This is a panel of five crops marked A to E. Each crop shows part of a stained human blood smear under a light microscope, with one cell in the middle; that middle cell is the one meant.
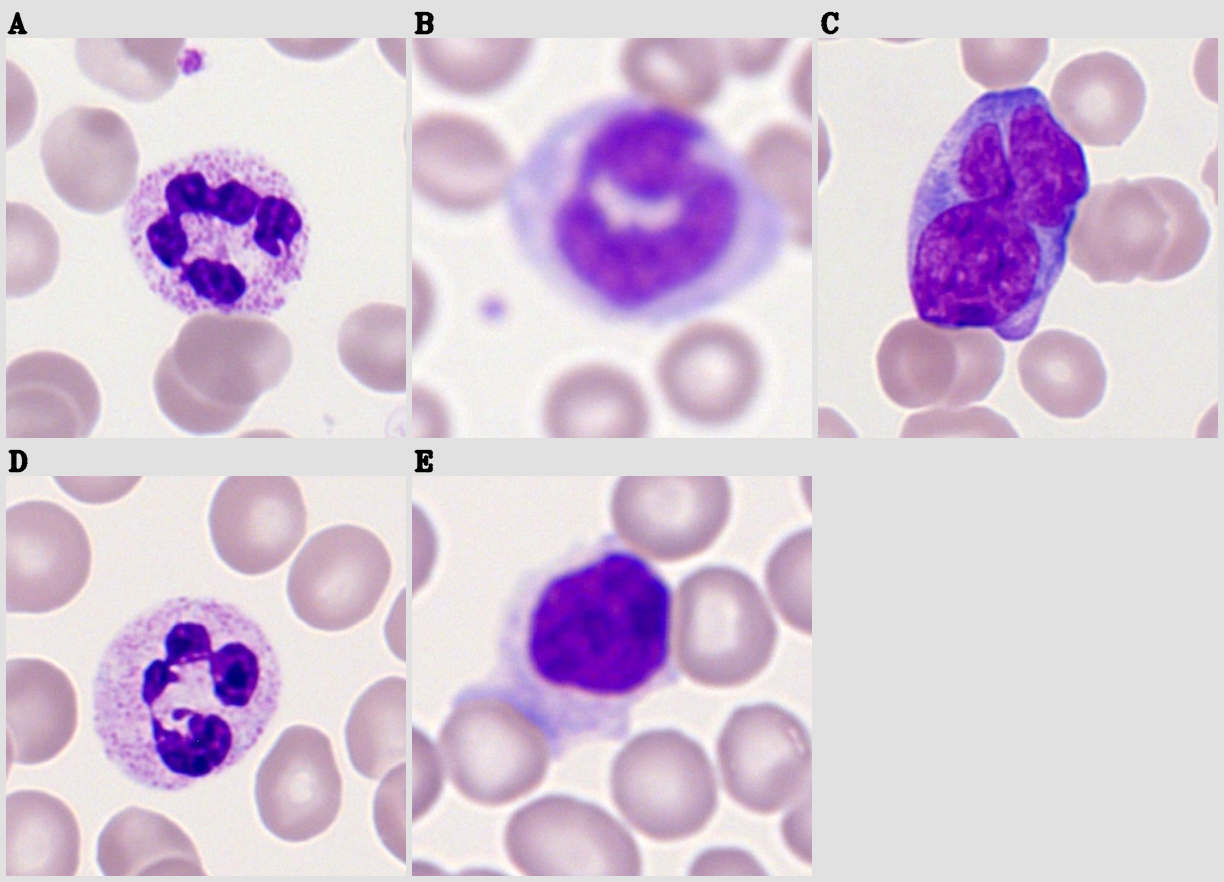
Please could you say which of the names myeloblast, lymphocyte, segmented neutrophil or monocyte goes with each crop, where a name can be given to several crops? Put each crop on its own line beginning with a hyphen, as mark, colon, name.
- A: segmented neutrophil
- B: monocyte
- C: myeloblast
- D: segmented neutrophil
- E: lymphocyte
